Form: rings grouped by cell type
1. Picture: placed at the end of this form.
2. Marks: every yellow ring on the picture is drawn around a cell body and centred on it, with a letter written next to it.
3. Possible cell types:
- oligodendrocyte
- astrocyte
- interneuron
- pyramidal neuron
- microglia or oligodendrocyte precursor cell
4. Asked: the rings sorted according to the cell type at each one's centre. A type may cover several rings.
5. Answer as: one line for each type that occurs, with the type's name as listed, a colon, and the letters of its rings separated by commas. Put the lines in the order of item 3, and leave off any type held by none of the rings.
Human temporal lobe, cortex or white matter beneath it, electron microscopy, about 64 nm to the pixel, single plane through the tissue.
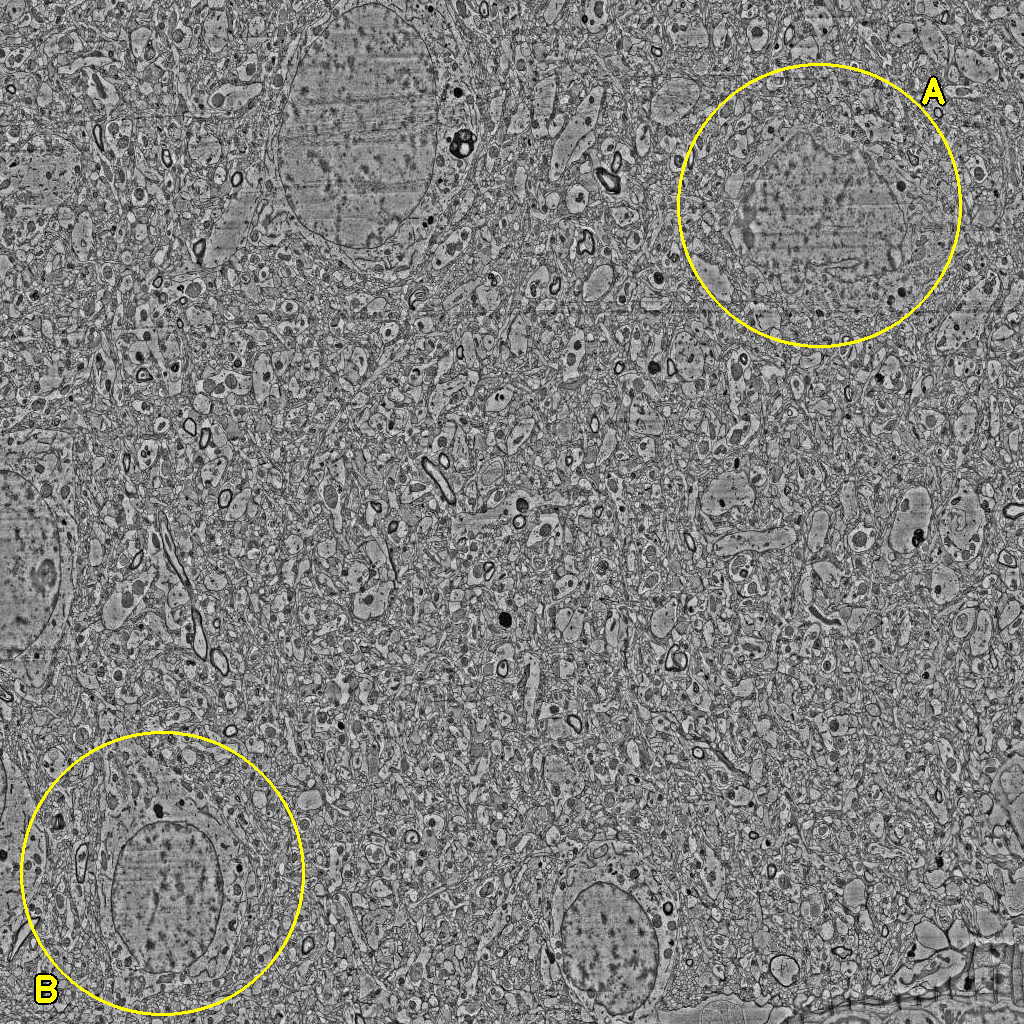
interneuron: A
pyramidal neuron: B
